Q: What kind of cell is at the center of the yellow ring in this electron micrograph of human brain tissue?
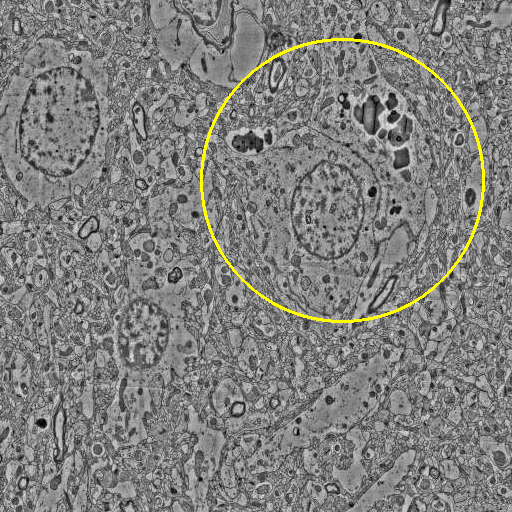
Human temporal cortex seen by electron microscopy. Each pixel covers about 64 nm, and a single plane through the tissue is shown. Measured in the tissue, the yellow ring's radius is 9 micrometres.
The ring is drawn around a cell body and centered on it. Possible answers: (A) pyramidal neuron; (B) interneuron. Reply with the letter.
A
